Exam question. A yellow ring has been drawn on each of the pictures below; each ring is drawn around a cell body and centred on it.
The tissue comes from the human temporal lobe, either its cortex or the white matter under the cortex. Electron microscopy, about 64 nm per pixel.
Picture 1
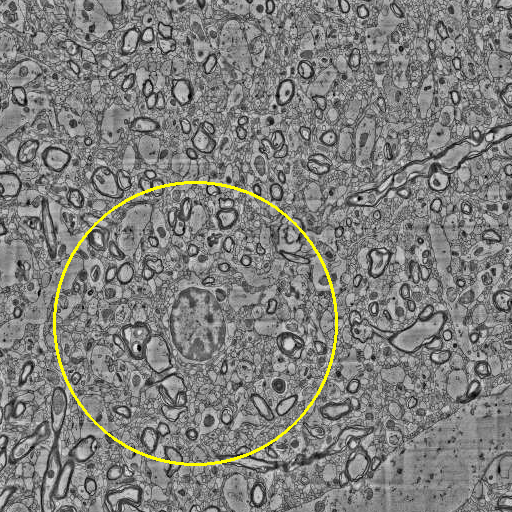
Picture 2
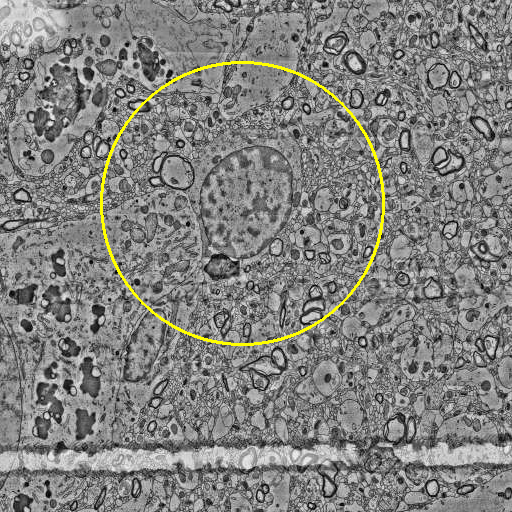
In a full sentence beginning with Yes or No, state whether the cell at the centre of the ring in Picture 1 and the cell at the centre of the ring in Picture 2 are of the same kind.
No, the cells are of two kinds.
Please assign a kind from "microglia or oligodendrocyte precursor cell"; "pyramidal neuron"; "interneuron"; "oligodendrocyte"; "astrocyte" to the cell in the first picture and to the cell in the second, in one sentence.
In the first picture we have a microglial cell or oligodendrocyte precursor cell, and in the second, an oligodendrocyte.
